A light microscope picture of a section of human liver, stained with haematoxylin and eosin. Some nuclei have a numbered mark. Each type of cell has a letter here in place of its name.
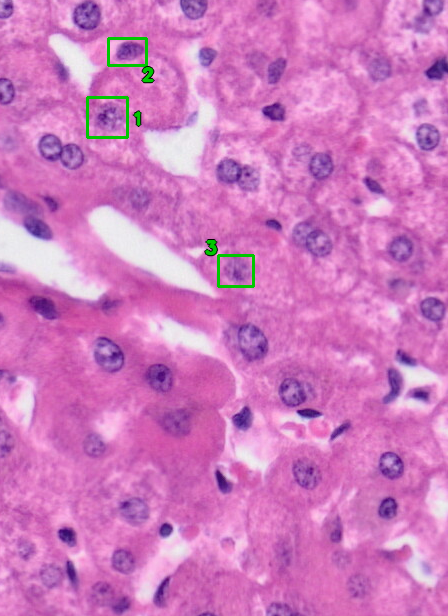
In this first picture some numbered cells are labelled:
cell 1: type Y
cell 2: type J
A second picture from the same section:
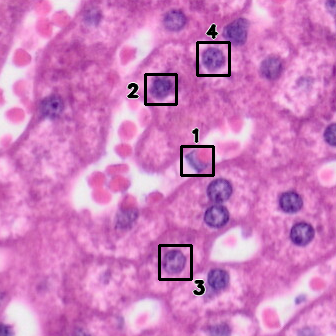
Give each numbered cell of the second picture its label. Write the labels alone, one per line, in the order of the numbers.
type J
type Y
type Y
type Y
